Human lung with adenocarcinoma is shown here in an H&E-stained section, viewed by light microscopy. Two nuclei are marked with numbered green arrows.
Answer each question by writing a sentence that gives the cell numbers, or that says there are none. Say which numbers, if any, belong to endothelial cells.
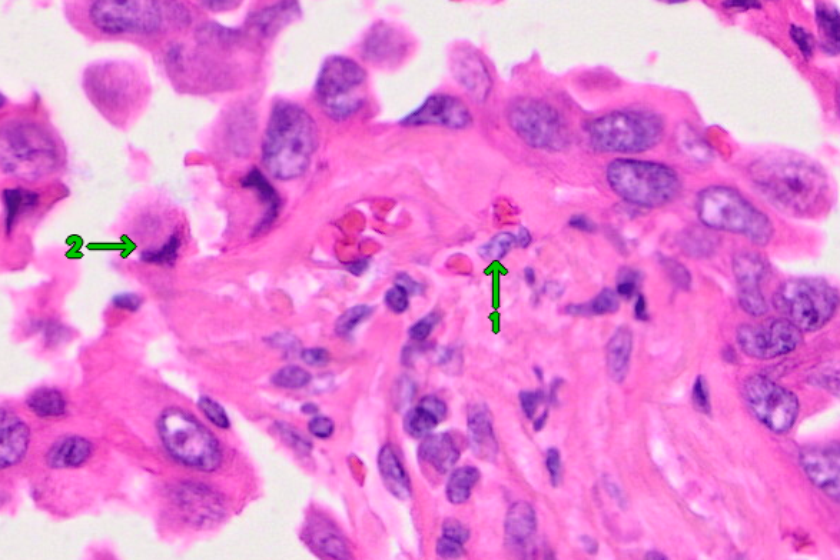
Only the cell numbered 1 qualifies as an endothelial cell among the marked cells.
